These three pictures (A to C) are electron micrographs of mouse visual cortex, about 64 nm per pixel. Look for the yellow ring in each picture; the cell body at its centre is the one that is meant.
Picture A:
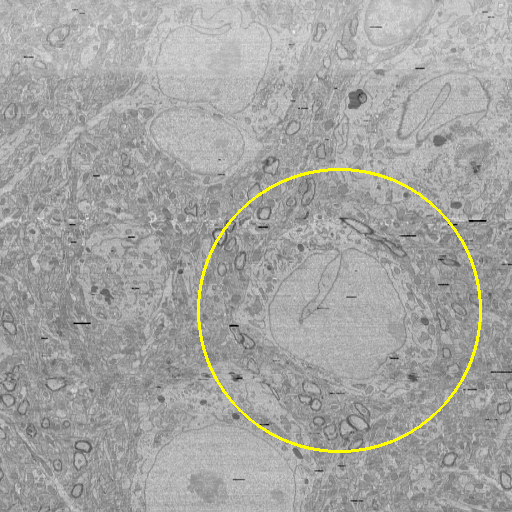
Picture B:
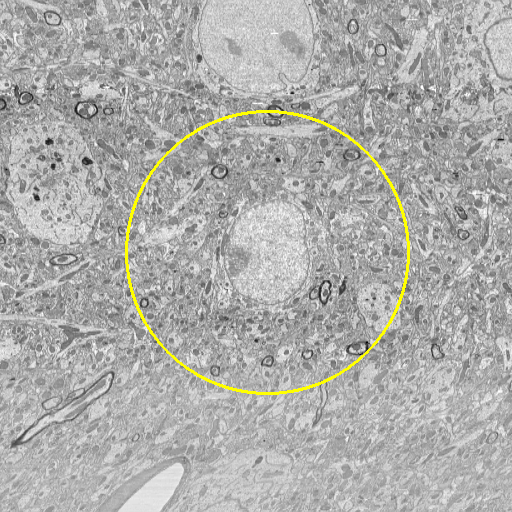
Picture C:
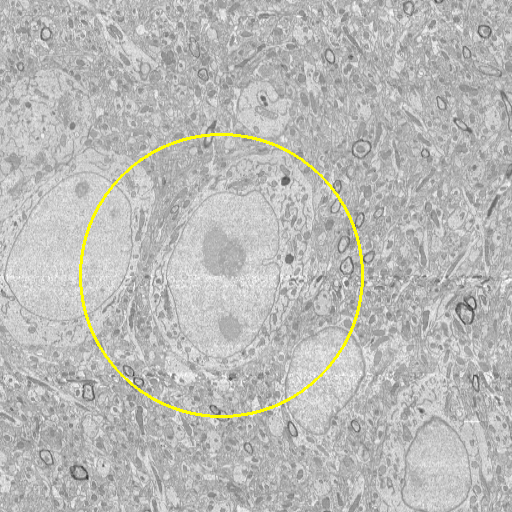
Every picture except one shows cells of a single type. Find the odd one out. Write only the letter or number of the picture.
B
